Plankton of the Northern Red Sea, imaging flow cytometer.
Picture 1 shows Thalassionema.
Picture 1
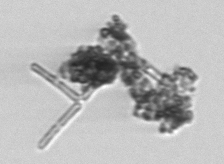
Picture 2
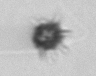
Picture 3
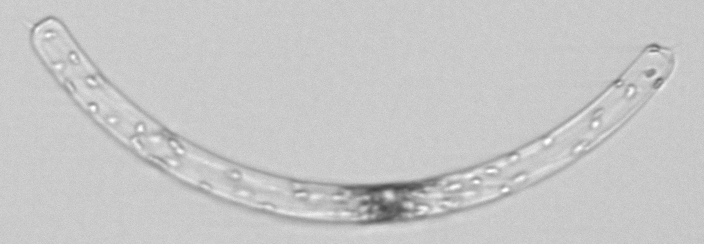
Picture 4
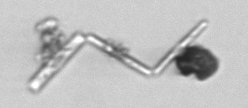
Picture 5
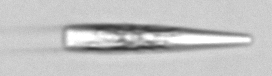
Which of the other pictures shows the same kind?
Picture 4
